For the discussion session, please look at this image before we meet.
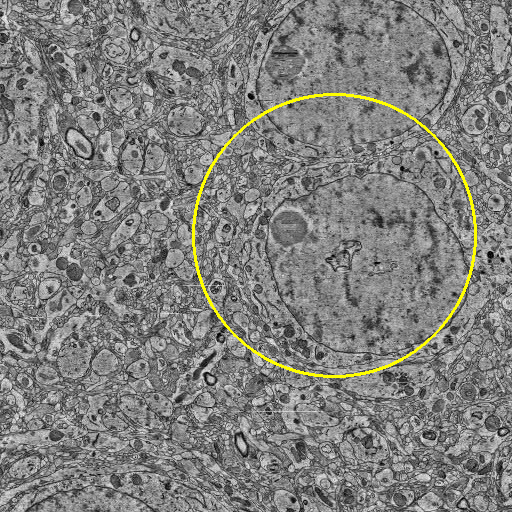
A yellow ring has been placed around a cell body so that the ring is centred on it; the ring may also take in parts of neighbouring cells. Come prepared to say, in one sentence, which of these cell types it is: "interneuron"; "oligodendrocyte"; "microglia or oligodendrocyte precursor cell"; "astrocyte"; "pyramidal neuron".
The cell centred in the ring is a pyramidal neuron.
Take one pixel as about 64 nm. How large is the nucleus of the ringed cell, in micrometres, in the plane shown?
About 13 micrometers across, in this plane.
